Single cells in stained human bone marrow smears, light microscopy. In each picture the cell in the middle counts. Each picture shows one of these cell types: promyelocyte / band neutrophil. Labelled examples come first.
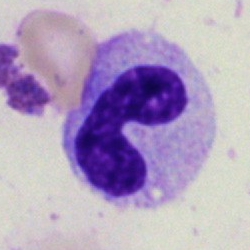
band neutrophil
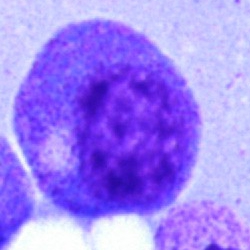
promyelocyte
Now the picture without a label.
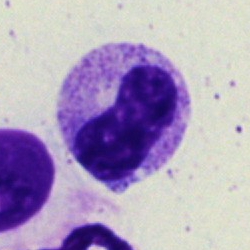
band neutrophil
